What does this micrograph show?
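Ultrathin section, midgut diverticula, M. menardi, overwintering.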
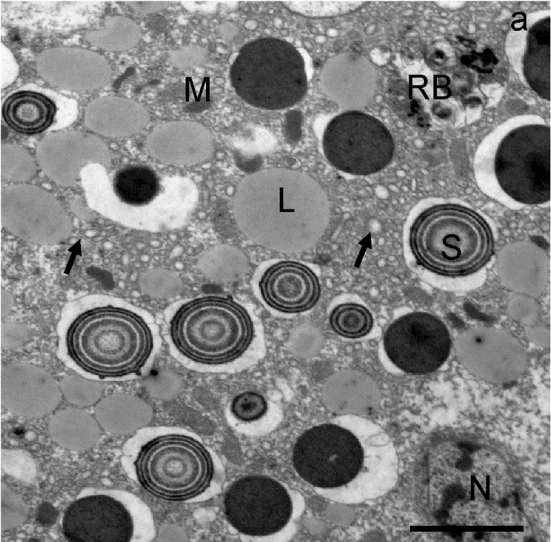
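This electron micrograph shows the cytoplasm of an adipocyte crowded with inclusions: many round, medium-grey lipid droplets of varying size, dense black round bodies often sitting in clear halos, and several bodies built of concentric dark rings. Between them lie small elongated mitochondria and many tiny clear vacuoles scattered through a finely granular cytoplasm. A residual body with irregular dark contents sits near the top, and part of a nucleus with patchy dark chromatin appears at the lower right corner.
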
